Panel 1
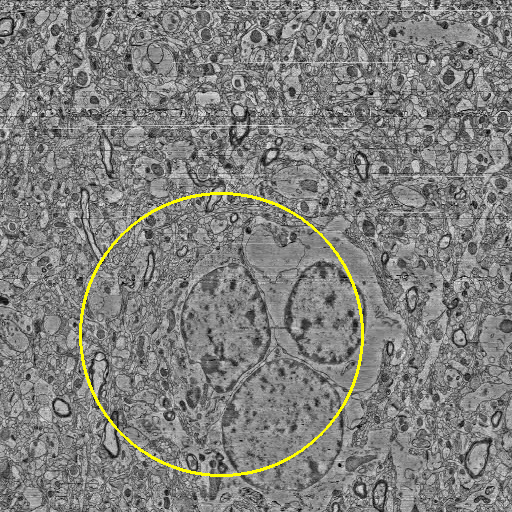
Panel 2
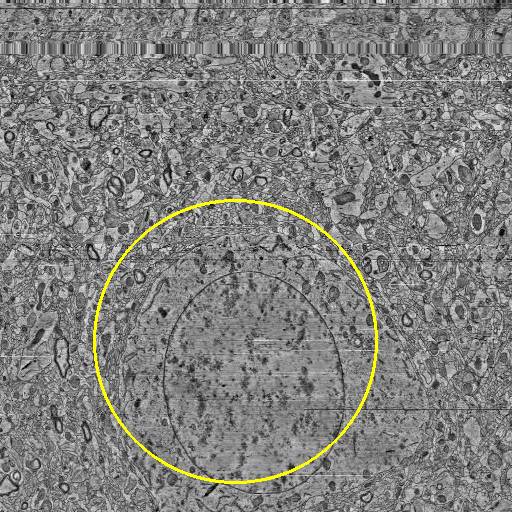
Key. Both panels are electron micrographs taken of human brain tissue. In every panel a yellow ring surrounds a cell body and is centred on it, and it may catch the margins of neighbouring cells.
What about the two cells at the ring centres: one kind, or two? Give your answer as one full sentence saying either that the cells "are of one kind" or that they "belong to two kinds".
Across Panels 1 and 2, the two cells at the ring centres belong to two kinds.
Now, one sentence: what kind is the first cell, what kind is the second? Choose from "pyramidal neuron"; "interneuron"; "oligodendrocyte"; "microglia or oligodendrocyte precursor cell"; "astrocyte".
The first picture has a microglial cell or oligodendrocyte precursor cell at its ring centre, and the second has a pyramidal neuron.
